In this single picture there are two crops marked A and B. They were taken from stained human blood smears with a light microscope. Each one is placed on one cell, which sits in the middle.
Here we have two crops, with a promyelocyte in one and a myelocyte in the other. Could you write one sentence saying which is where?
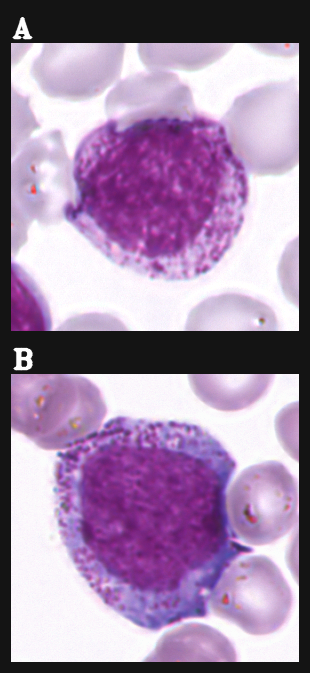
In crop A there is a myelocyte, and in crop B there is a promyelocyte.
